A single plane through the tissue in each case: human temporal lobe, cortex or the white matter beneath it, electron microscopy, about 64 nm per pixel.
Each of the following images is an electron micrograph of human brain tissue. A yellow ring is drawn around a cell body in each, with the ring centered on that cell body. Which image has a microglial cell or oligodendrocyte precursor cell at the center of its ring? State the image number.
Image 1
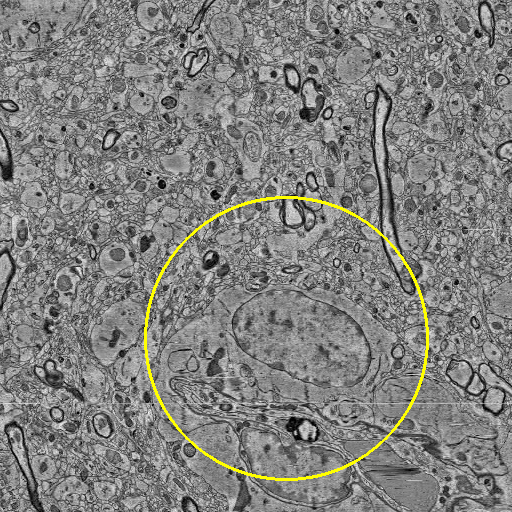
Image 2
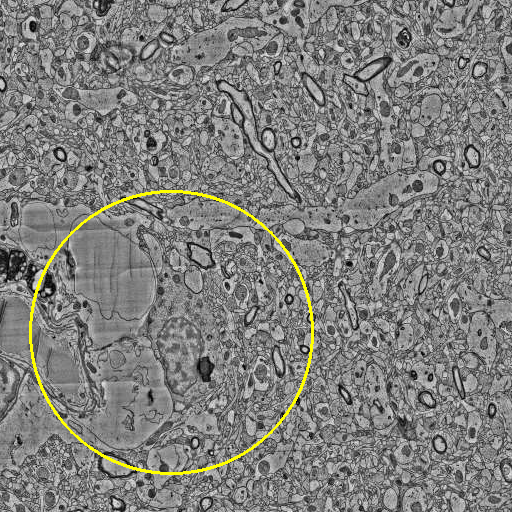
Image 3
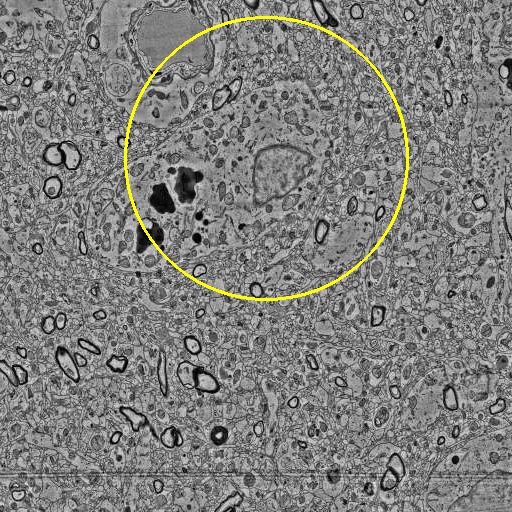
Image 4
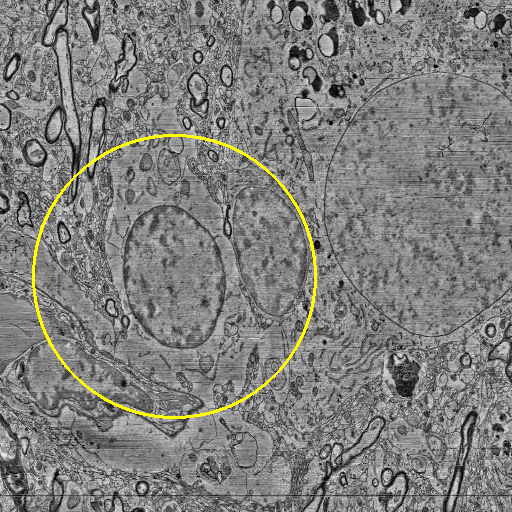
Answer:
1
